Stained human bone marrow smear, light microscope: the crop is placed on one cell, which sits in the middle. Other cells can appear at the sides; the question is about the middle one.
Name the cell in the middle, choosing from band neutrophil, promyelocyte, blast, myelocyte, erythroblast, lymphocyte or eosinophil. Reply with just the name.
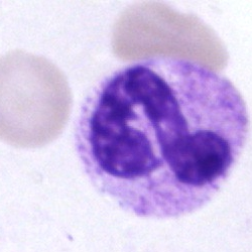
band neutrophil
